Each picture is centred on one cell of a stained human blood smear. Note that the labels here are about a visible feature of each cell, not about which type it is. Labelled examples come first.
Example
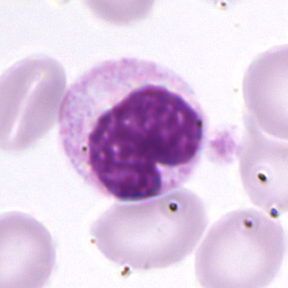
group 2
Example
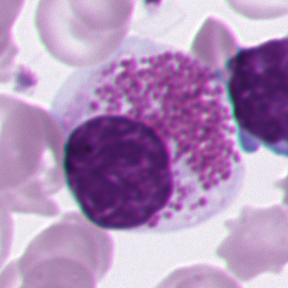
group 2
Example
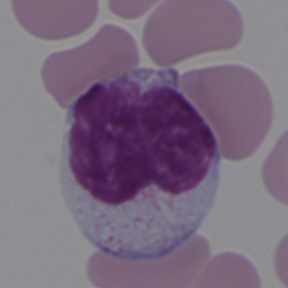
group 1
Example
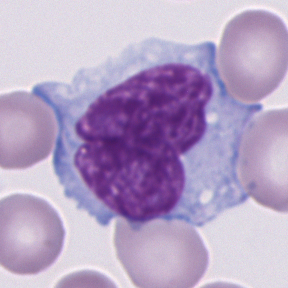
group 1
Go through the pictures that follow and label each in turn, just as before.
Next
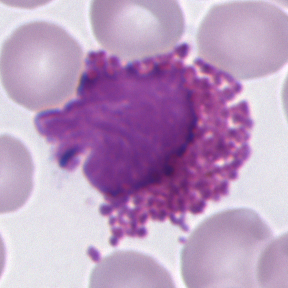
group 2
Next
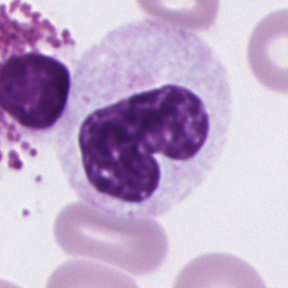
group 2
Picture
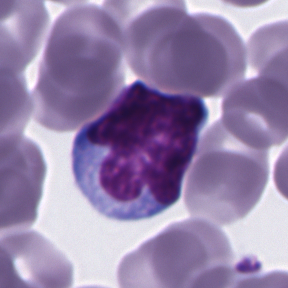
group 1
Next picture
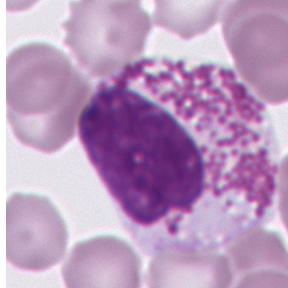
group 2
